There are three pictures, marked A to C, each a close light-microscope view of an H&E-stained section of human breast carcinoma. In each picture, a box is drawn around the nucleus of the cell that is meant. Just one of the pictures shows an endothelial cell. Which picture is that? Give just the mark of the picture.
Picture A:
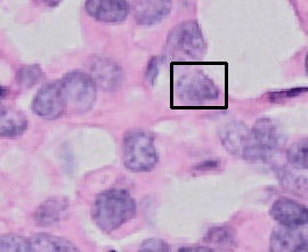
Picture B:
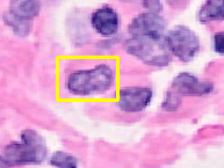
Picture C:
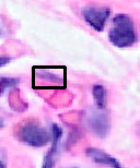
C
